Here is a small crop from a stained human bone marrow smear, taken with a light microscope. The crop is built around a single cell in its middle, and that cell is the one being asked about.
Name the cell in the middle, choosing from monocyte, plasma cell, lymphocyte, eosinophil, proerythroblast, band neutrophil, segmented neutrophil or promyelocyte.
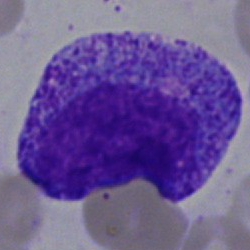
promyelocyte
